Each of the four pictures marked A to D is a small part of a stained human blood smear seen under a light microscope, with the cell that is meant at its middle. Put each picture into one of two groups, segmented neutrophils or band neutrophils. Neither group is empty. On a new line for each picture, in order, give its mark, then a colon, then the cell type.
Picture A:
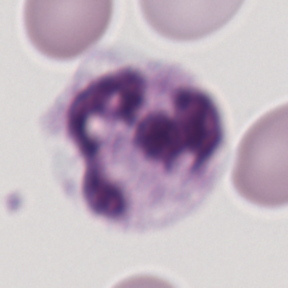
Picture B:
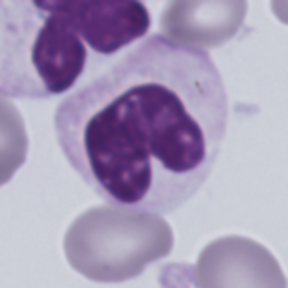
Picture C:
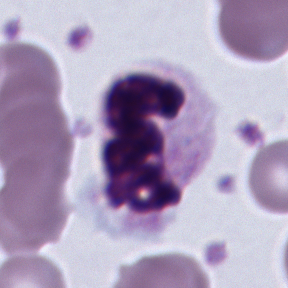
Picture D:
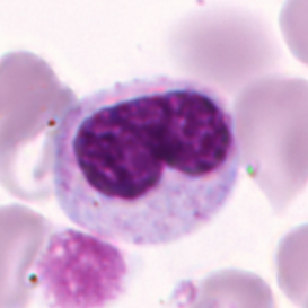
A: segmented neutrophil
B: band neutrophil
C: segmented neutrophil
D: band neutrophil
